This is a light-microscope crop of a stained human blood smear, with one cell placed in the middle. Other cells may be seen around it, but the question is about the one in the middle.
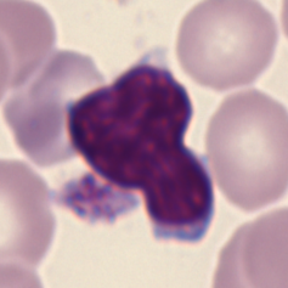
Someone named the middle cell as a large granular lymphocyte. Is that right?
no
